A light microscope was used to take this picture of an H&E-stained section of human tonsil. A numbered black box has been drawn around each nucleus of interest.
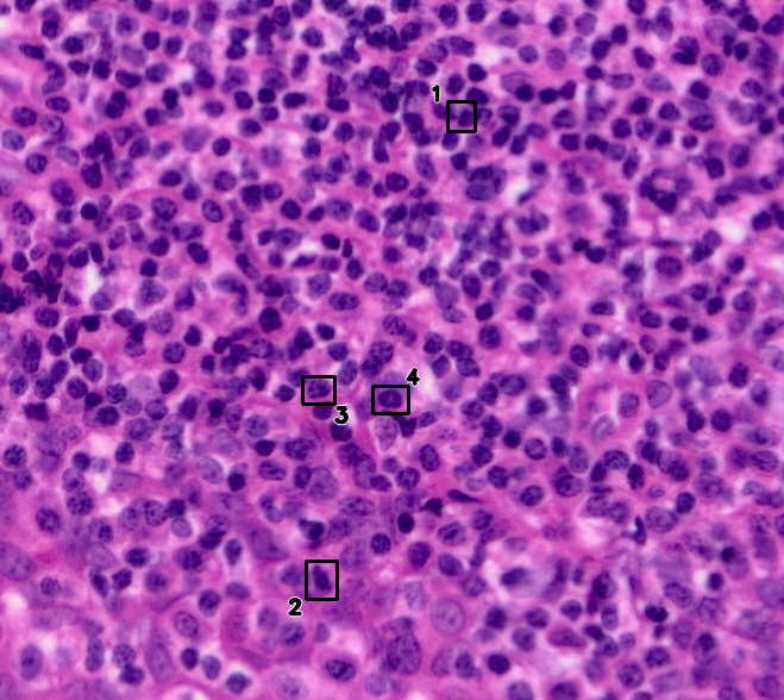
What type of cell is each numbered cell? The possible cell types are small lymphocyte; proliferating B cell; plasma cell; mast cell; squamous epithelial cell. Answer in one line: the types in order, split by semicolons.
small lymphocyte; squamous epithelial cell; plasma cell; plasma cell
